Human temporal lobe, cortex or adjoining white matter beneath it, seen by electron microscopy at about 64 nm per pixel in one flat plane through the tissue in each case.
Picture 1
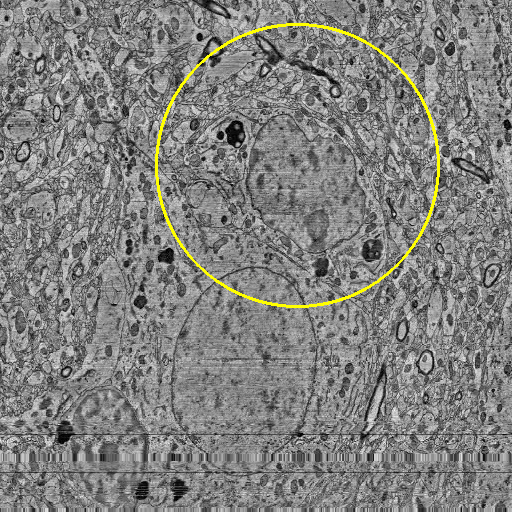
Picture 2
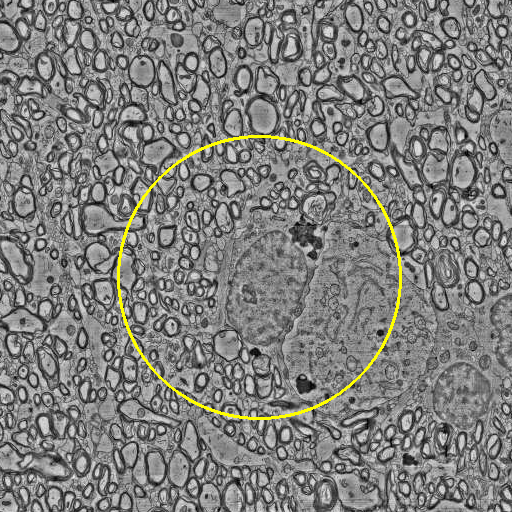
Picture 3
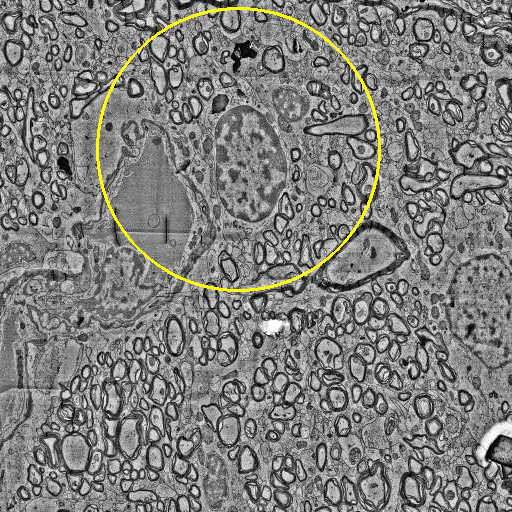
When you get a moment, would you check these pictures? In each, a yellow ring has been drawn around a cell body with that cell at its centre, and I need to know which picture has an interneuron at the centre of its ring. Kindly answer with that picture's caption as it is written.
Picture 1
